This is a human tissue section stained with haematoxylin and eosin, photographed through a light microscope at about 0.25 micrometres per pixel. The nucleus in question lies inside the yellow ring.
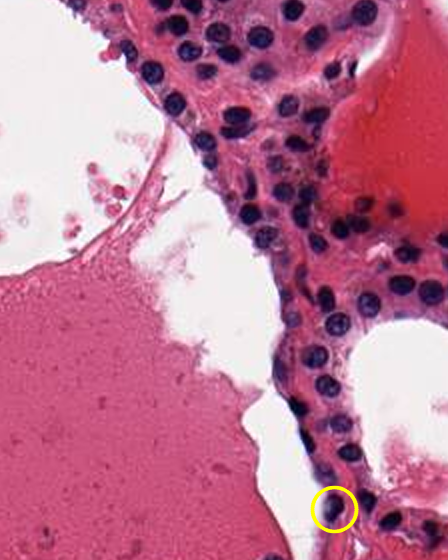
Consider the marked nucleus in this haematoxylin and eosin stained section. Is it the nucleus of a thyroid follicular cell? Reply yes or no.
yes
